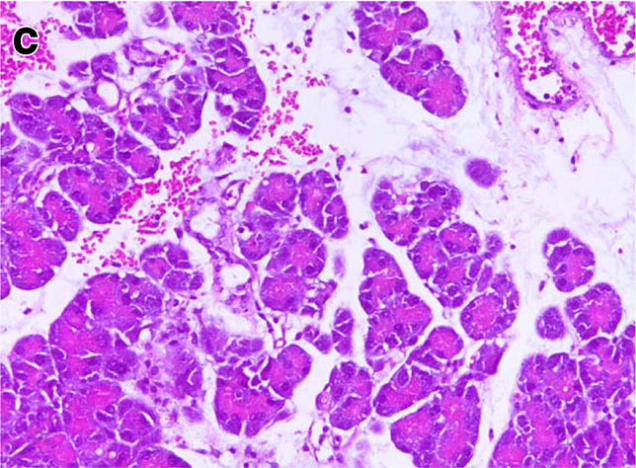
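This is exocrine pancreas, where groups of acinar cells are set in loose, swollen interstitial tissue with bleeding into it. Between the acini the tissue is pale and widened, with fine wisps of fibres. Many red blood cells lie free in these spaces, especially toward the upper left, outside any vessel. Some small, loosened fragments of acini lie apart from the rest.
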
